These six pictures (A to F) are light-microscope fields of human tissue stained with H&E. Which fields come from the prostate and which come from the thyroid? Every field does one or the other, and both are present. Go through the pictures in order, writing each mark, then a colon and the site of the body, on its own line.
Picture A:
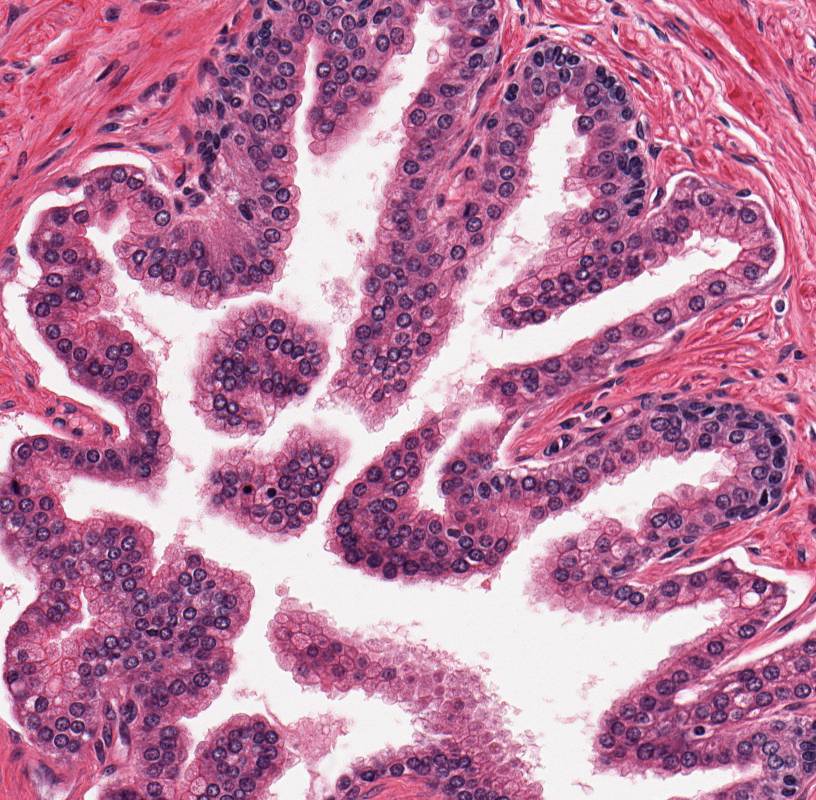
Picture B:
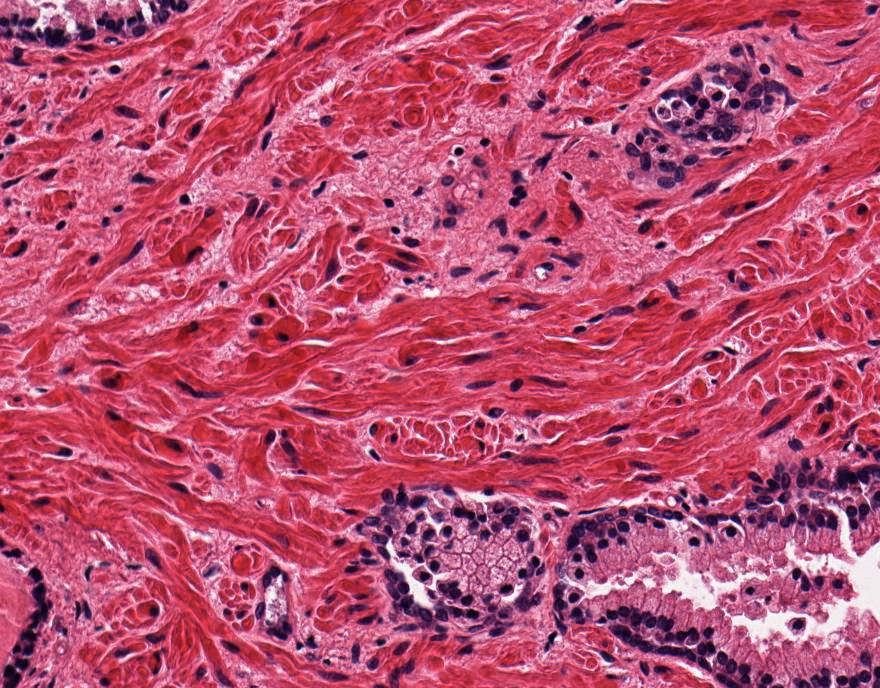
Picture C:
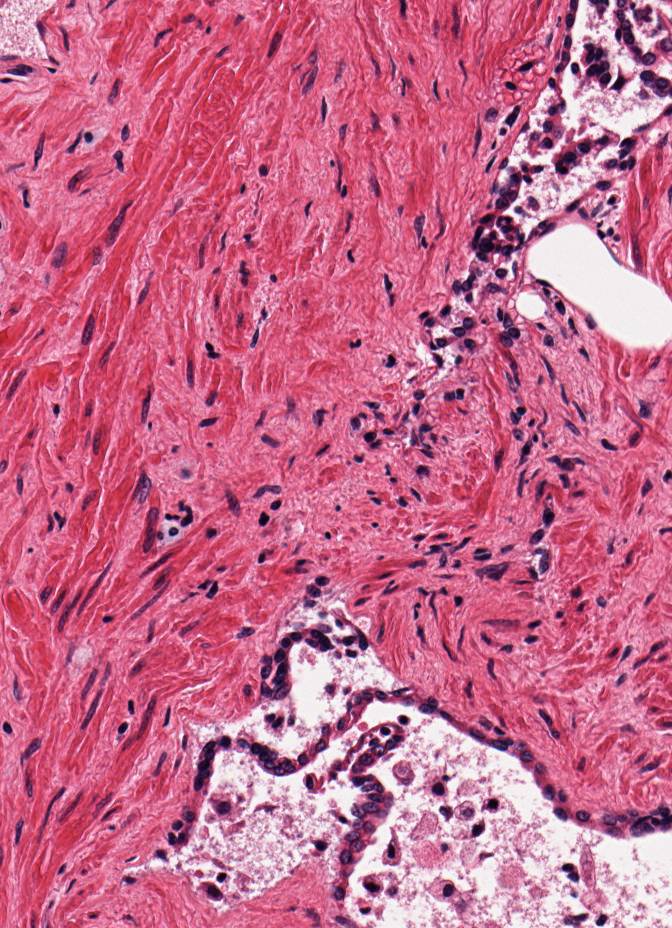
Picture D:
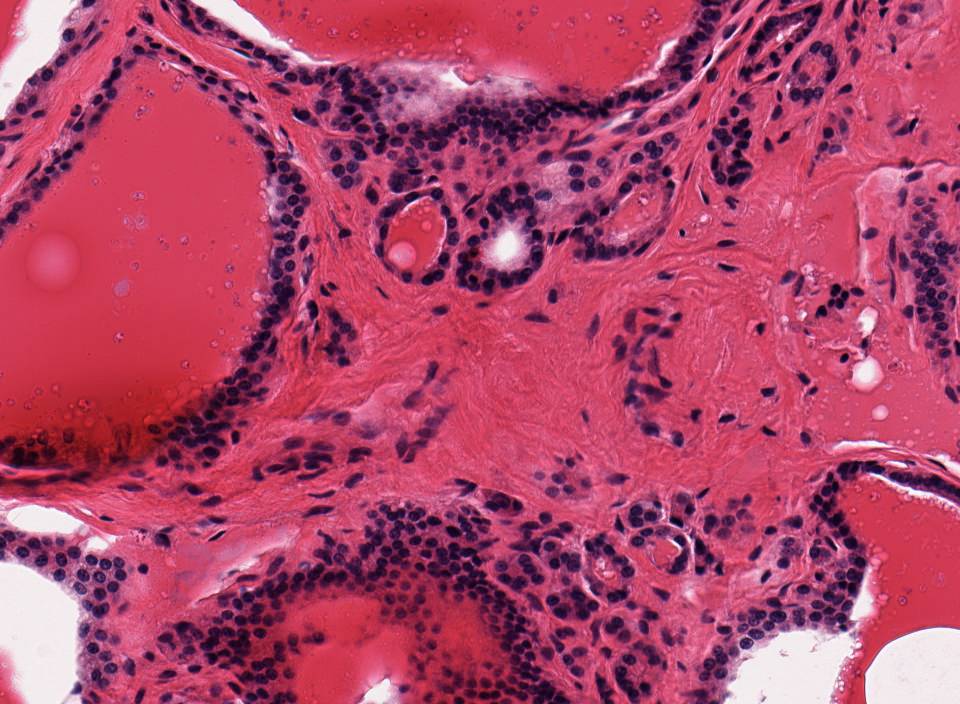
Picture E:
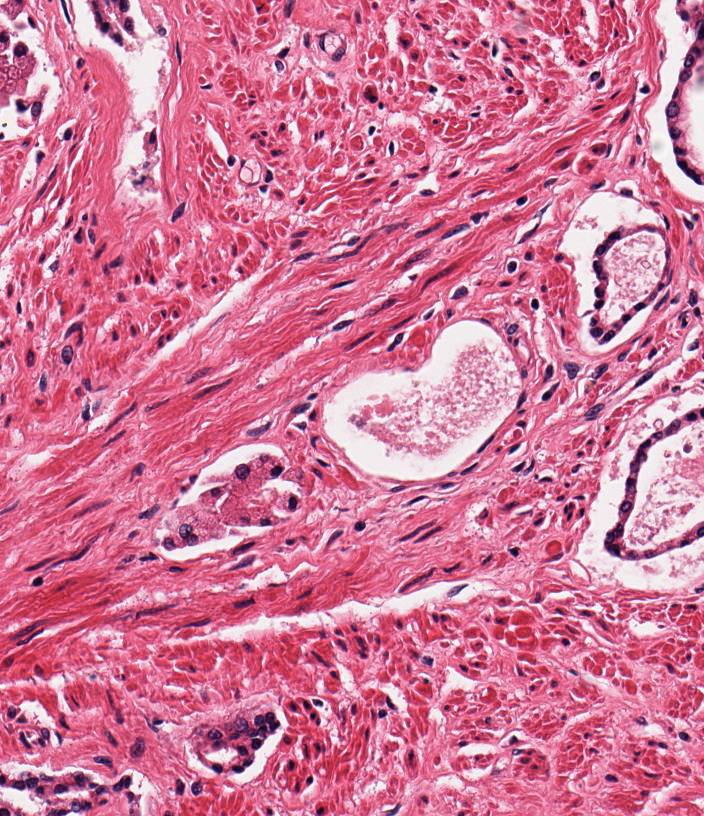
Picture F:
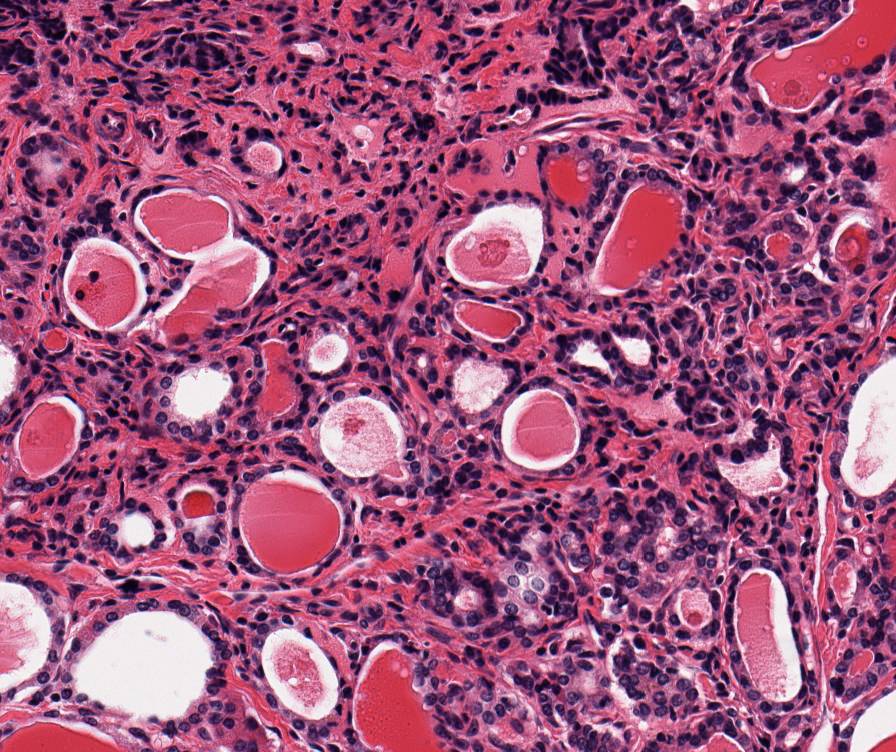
A: prostate
B: prostate
C: prostate
D: thyroid
E: prostate
F: thyroid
